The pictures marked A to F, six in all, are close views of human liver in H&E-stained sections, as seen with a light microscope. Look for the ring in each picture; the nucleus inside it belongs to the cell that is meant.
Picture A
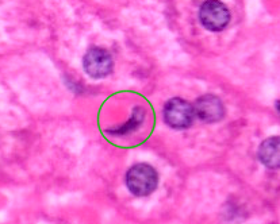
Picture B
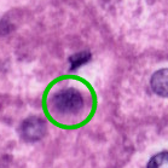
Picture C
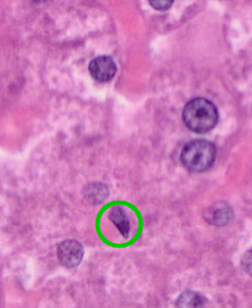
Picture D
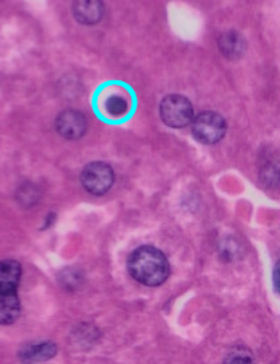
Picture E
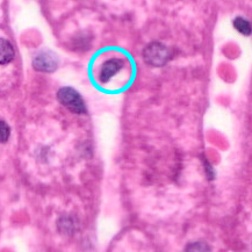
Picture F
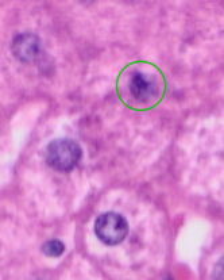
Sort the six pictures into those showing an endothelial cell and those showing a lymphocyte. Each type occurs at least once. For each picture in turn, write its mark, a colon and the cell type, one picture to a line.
A: endothelial cell
B: endothelial cell
C: endothelial cell
D: lymphocyte
E: lymphocyte
F: endothelial cell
